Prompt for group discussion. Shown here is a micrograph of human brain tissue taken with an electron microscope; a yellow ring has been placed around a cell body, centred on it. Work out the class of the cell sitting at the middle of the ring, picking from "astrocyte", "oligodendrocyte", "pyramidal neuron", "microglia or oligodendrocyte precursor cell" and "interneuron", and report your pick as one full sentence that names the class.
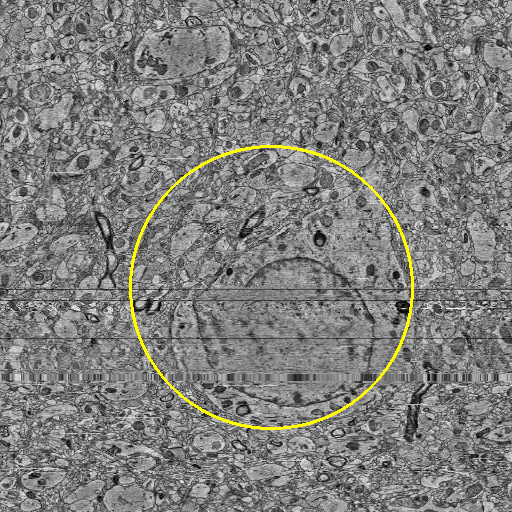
The cell sitting at the middle of the yellow ring is a pyramidal neuron.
